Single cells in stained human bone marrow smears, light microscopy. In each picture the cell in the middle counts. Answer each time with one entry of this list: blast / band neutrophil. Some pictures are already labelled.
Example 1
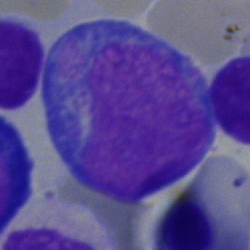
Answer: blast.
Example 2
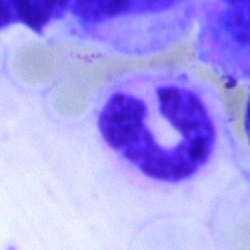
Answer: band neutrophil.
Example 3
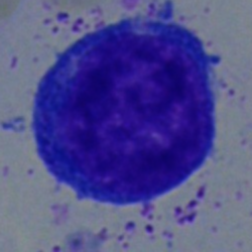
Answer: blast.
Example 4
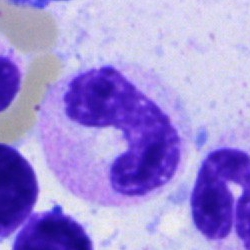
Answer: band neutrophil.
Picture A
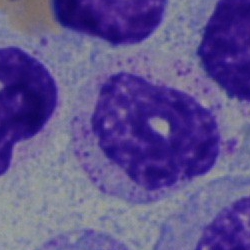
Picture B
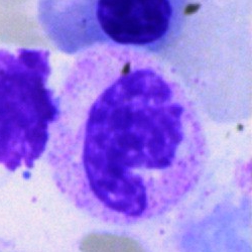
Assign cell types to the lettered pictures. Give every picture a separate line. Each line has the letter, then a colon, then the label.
A: band neutrophil.
B: band neutrophil.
